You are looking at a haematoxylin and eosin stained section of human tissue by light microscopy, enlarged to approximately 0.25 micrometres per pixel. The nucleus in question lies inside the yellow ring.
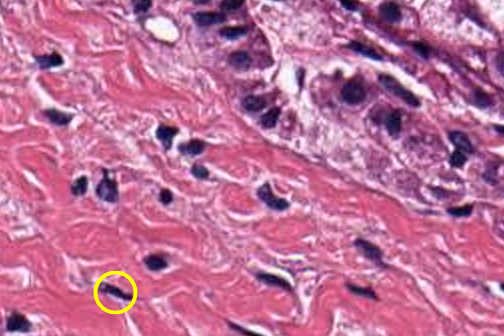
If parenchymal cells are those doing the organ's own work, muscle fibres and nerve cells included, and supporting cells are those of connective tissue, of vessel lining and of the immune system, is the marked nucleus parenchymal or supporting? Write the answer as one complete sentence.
In this field of view, a supporting cell owns the marked nucleus.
